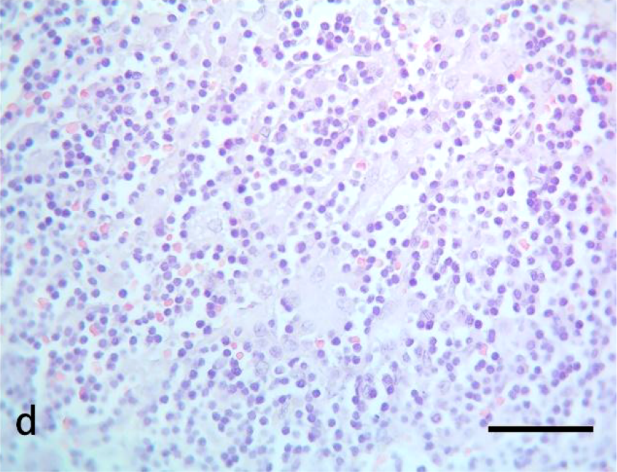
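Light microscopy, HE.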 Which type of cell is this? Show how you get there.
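Dense sheets of small round cells fill the field. Their nuclei are round and dark purple with scant cytoplasm. Scattered small red cells lie among them. The answer: inflammatory cells.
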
